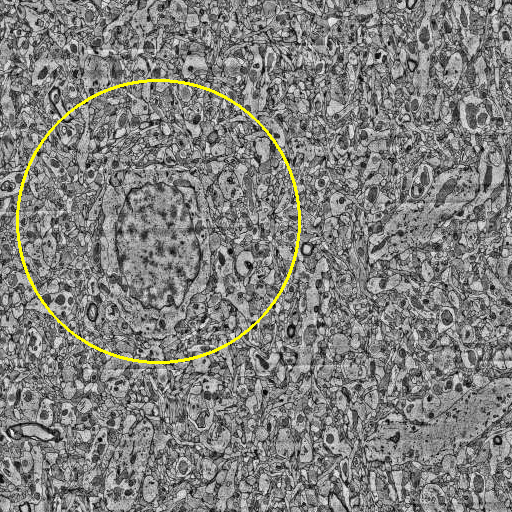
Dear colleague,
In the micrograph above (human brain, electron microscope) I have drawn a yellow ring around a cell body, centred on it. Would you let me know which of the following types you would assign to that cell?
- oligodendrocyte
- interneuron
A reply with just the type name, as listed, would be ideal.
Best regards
interneuron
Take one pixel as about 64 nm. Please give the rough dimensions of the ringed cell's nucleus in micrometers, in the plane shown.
About 8 by 6 micrometers, in this plane.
